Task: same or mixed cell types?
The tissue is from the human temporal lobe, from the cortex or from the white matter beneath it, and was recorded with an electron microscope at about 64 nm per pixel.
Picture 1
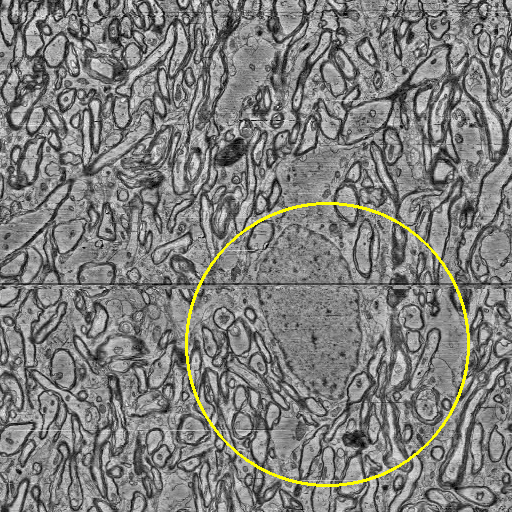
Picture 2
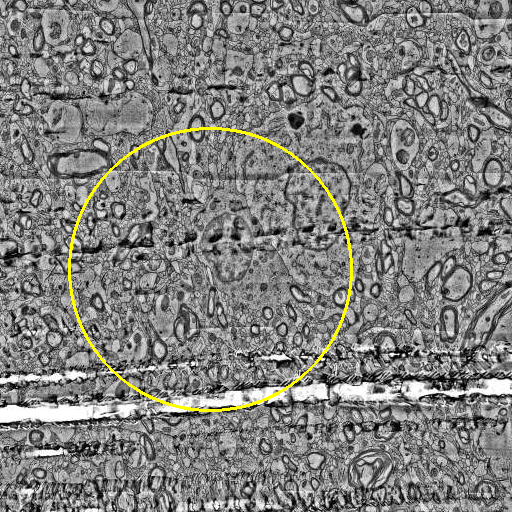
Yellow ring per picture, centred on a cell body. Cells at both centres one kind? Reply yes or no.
no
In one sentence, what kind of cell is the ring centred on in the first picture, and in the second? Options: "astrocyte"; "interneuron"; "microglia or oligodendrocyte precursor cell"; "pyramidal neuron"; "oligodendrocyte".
The cell at the centre of the second ring is an oligodendrocyte; the first ring's cell is an astrocyte.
